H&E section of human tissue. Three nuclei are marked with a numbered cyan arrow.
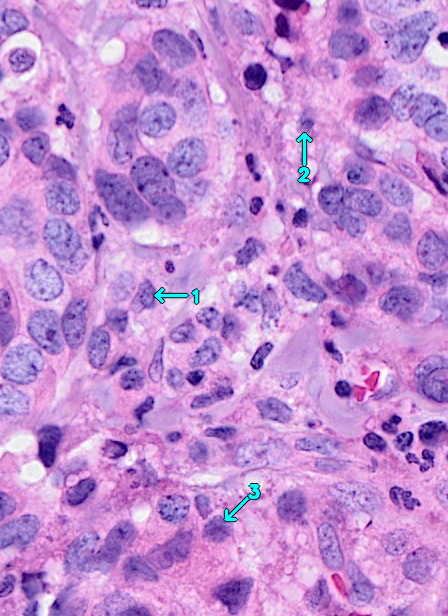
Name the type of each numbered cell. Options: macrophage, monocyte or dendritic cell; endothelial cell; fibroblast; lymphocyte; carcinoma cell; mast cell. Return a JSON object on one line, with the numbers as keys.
{"1": "macrophage, monocyte or dendritic cell", "2": "macrophage, monocyte or dendritic cell", "3": "carcinoma cell"}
